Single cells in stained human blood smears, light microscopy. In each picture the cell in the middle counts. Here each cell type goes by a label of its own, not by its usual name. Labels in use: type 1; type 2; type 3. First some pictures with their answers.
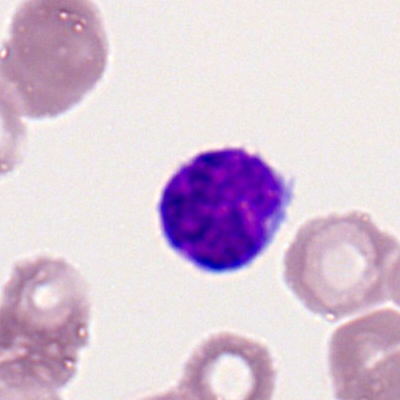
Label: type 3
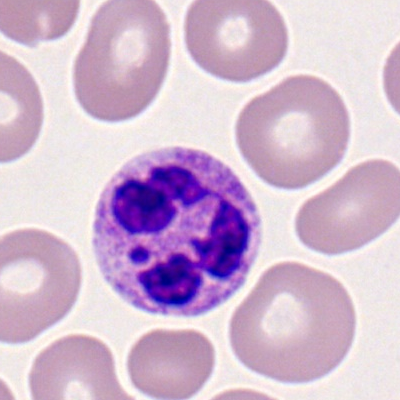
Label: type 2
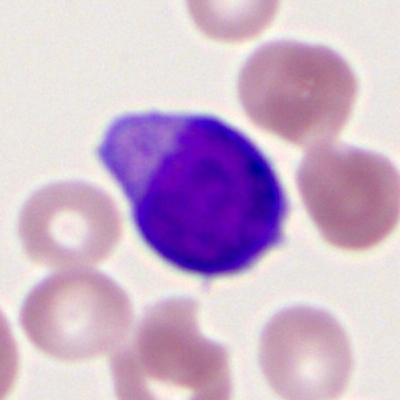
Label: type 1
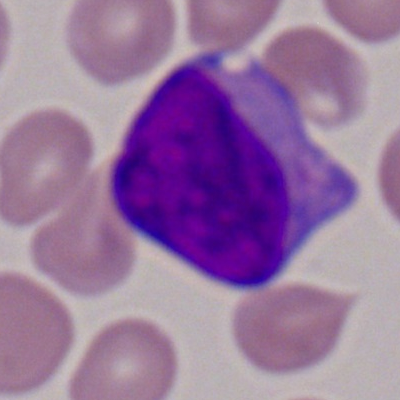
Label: type 1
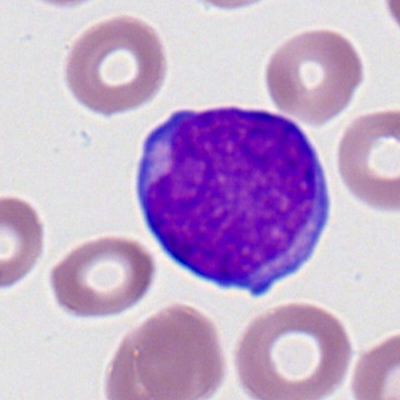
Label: type 1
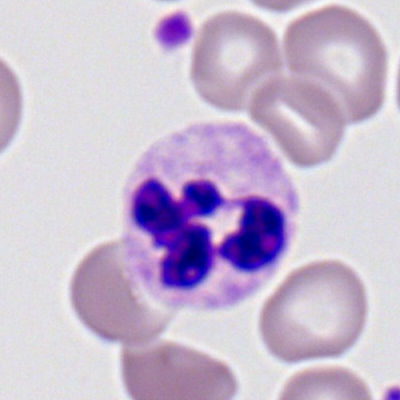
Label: type 2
